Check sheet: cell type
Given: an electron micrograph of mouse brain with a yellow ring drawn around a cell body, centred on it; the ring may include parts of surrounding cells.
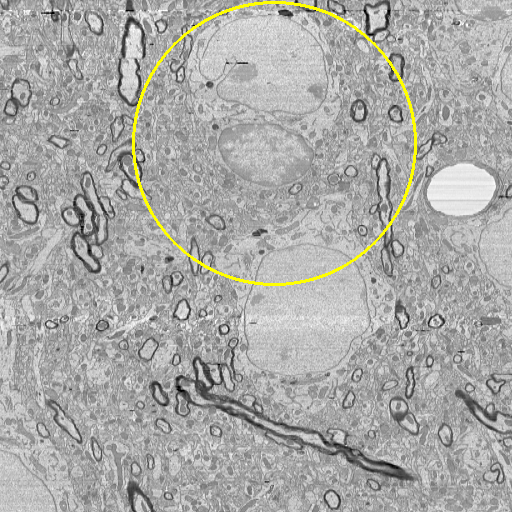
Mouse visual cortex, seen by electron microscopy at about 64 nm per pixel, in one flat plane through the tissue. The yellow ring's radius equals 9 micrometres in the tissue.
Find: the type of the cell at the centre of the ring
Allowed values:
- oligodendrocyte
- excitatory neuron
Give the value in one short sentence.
Here the ringed cell is an oligodendrocyte.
